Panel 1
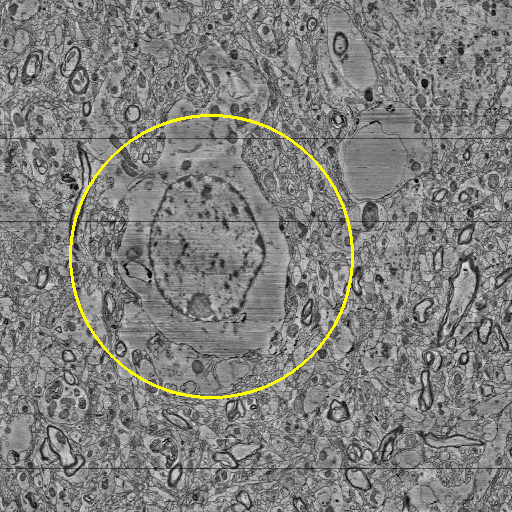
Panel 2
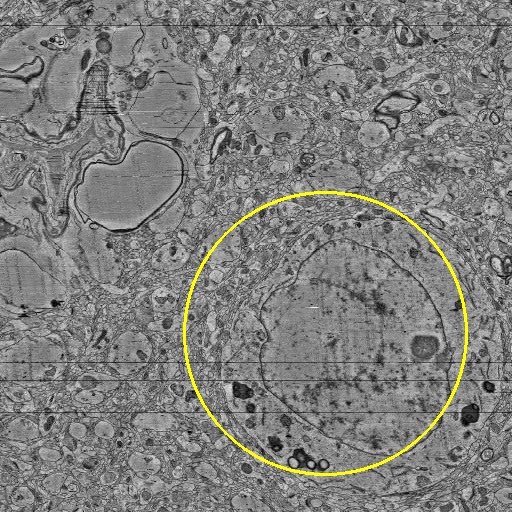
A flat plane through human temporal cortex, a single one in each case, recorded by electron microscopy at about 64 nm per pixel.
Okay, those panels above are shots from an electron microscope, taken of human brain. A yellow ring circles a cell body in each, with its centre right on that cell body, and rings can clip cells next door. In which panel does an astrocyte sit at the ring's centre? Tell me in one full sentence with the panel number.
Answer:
The cell you asked for sits at the ring's centre in panel 1.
